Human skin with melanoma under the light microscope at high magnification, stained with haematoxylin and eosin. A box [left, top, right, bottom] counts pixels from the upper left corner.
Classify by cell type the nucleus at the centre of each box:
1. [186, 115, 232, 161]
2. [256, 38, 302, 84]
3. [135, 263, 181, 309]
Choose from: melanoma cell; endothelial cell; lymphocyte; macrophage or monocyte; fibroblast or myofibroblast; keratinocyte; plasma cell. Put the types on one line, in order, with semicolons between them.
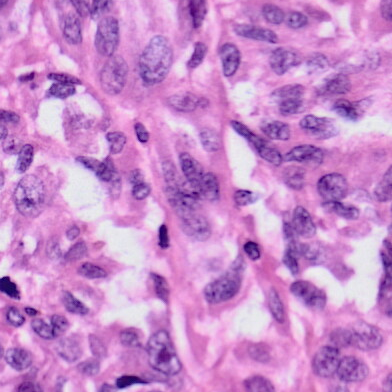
melanoma cell; melanoma cell; macrophage or monocyte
